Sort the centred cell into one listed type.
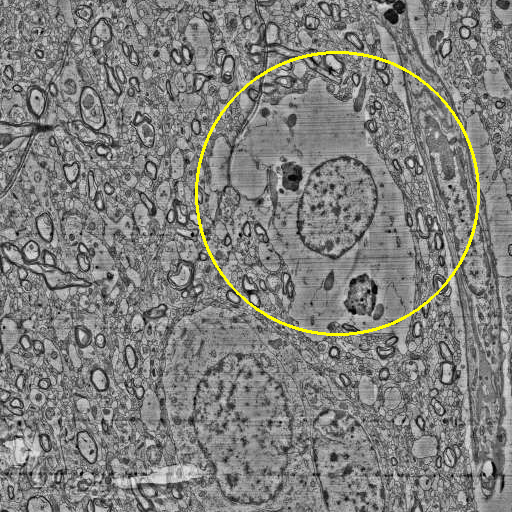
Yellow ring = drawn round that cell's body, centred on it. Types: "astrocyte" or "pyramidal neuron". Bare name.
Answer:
astrocyte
